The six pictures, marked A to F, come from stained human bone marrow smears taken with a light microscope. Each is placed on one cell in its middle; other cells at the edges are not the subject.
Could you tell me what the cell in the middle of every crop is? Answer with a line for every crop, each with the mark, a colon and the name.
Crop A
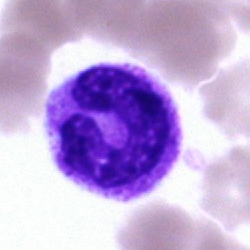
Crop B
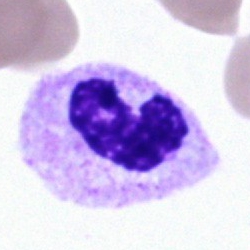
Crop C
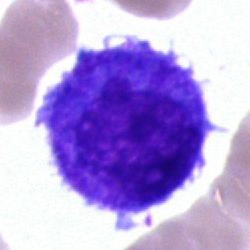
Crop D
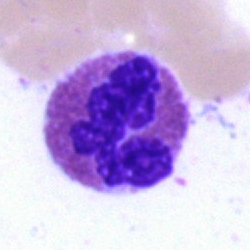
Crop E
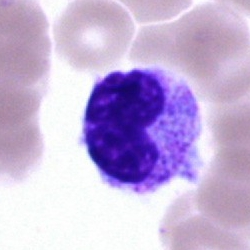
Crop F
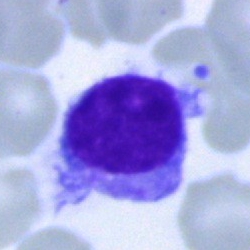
A: band neutrophil
B: segmented neutrophil
C: promyelocyte
D: eosinophil
E: metamyelocyte
F: hairy cell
